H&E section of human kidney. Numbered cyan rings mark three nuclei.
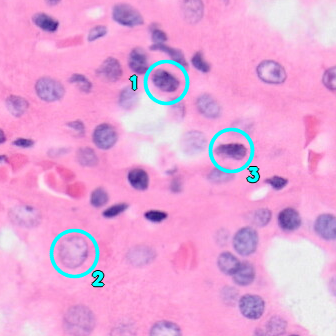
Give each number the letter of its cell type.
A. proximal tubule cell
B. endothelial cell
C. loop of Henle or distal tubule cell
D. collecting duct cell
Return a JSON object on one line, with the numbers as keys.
{"1": "C", "2": "A", "3": "C"}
